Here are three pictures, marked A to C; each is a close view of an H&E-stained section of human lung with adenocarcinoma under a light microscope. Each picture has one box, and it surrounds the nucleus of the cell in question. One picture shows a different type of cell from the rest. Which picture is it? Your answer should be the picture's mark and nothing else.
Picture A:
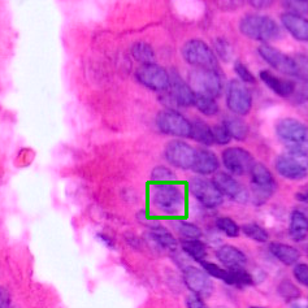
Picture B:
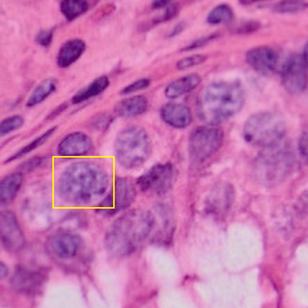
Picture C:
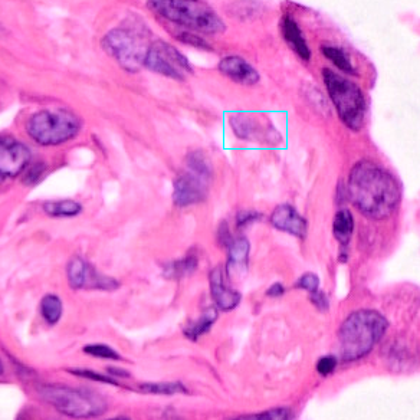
C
